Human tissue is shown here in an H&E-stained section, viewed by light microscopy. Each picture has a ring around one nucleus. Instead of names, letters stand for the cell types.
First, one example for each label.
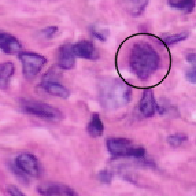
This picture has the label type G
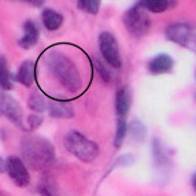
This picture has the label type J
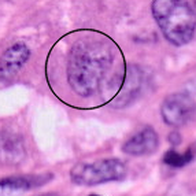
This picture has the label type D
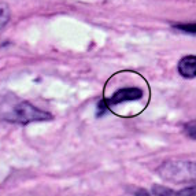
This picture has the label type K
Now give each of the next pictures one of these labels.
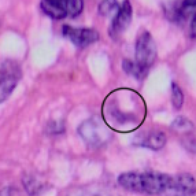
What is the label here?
type D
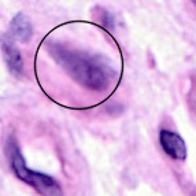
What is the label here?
type J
